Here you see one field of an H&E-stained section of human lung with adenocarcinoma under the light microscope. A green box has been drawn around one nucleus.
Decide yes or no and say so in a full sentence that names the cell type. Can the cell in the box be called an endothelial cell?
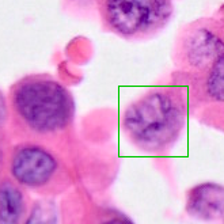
No, that is wrong: the cell in the box is a carcinoma cell, not an endothelial cell.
